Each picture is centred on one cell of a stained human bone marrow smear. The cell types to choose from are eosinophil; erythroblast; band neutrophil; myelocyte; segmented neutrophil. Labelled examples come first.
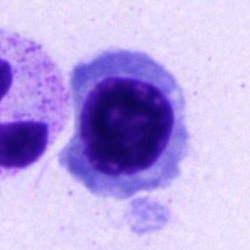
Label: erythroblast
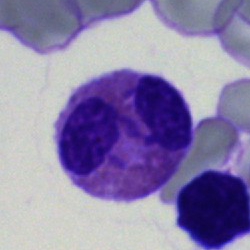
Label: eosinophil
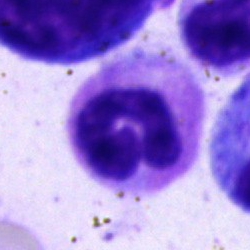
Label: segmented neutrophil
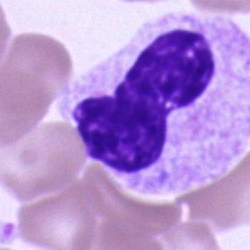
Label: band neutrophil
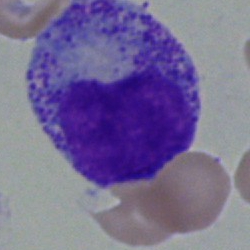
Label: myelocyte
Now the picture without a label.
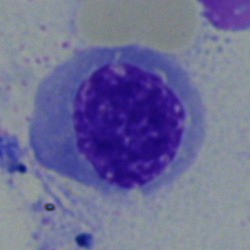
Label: erythroblast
